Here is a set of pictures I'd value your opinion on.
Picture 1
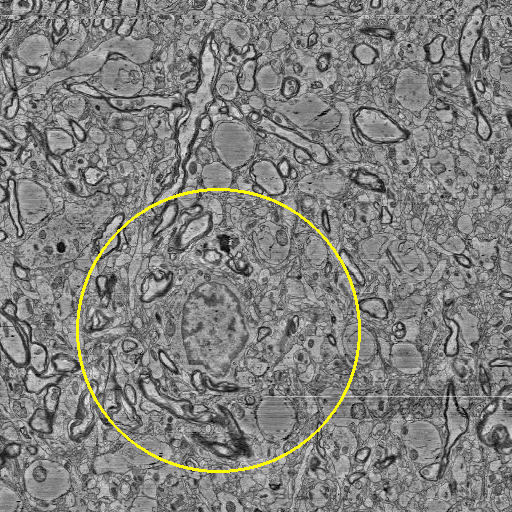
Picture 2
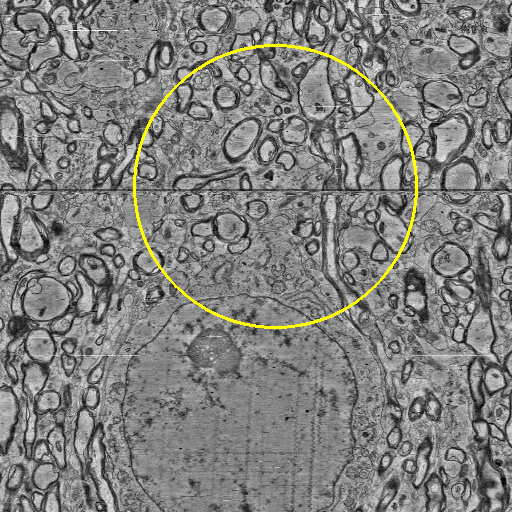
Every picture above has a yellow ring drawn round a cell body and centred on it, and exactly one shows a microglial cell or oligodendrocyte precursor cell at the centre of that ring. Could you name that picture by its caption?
Picture 2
